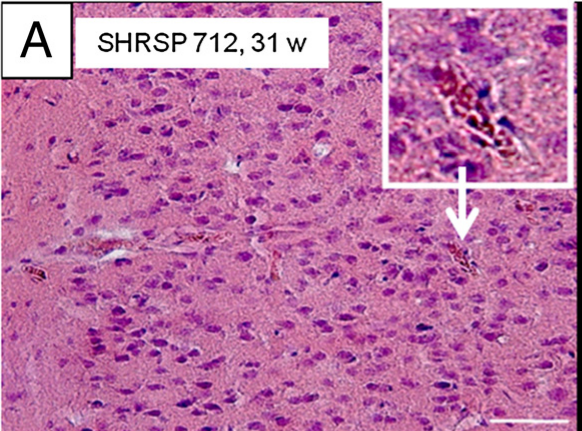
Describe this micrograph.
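This is brain tissue stained with hematoxylin and eosin: many round to oval purple nuclei of brain cells are scattered through pale pink neuropil. Several thin capillaries run across the field. The arrow marks one small vessel whose lumen is packed with a cluster of red-brown corpuscles. The inset enlarges this cluster, lying within the vessel.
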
